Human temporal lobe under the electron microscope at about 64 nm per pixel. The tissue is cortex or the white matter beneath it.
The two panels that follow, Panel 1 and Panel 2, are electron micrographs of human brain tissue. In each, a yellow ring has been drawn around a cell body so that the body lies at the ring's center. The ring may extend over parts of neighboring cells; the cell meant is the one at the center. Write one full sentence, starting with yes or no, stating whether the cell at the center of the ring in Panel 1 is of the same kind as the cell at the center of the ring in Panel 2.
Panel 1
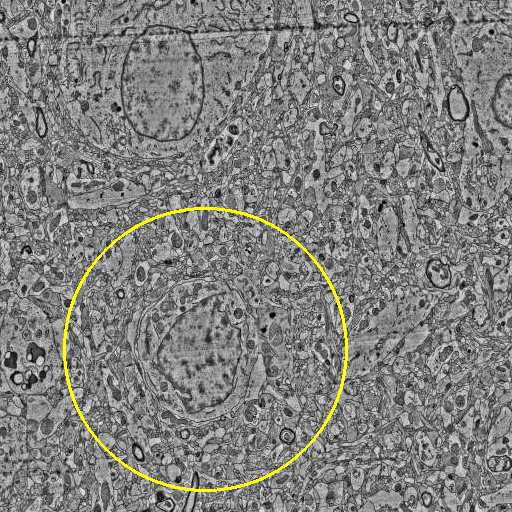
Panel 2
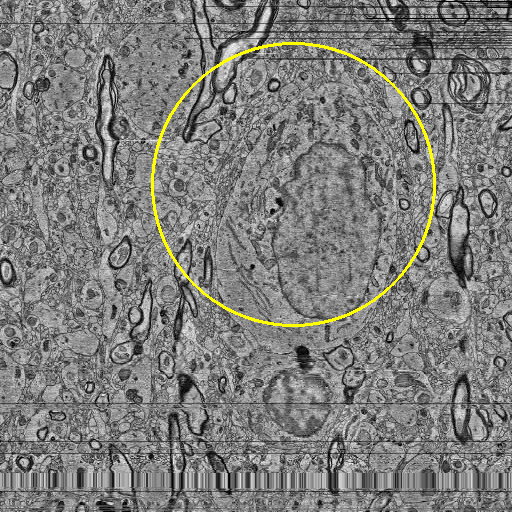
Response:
Yes, the cells in both panels are of the same kind.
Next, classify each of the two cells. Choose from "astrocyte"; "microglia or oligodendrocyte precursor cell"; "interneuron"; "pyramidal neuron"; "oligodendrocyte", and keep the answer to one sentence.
Each one of the two ringed cells is an interneuron.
